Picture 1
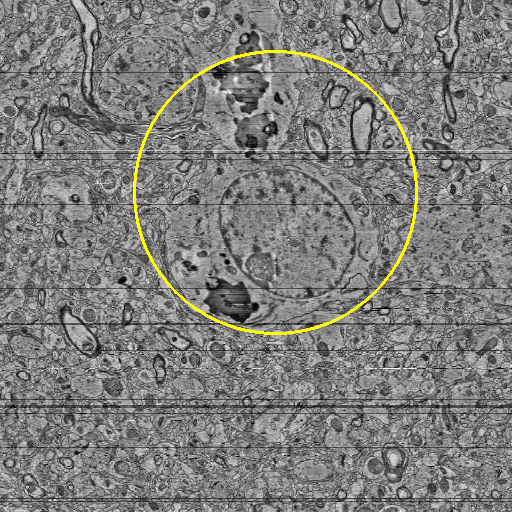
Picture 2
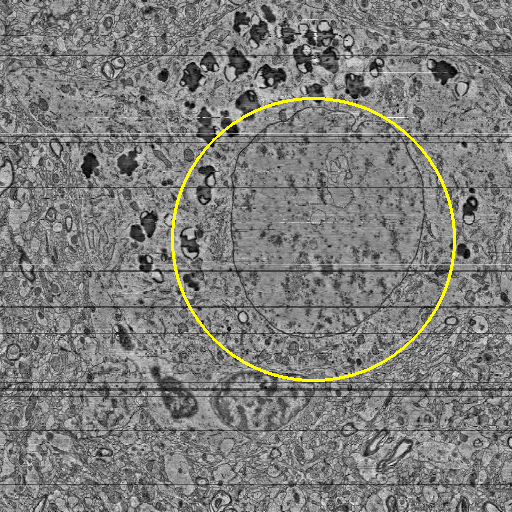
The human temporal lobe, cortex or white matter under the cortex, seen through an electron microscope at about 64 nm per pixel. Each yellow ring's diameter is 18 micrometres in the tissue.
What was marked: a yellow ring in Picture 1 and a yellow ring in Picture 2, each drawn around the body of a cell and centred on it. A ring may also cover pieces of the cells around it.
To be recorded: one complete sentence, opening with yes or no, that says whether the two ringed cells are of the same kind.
No, the two ringed cells are of two kinds.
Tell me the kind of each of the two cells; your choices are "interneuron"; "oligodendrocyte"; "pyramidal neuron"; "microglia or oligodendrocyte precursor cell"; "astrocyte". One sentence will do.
The ringed cell is an astrocyte in the first picture and a pyramidal neuron in the second picture.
